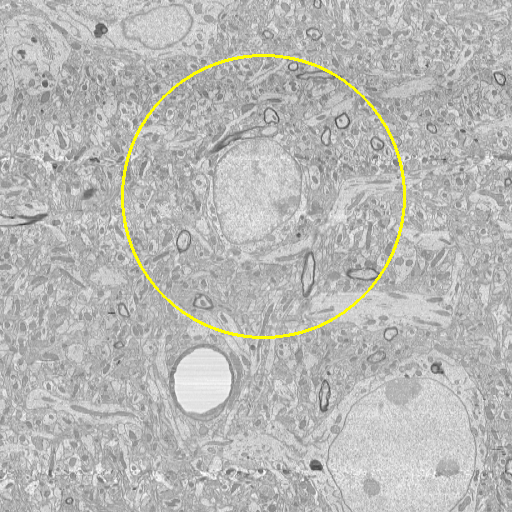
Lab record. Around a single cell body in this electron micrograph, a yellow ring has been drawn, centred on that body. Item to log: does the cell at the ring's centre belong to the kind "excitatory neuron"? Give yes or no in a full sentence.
No, in the micrograph, the ringed cell at the centre belongs to a different kind.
